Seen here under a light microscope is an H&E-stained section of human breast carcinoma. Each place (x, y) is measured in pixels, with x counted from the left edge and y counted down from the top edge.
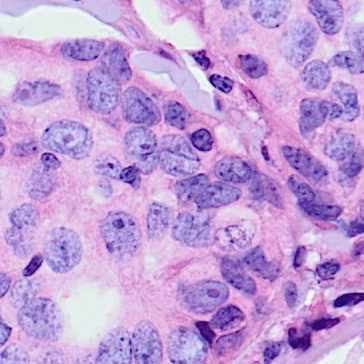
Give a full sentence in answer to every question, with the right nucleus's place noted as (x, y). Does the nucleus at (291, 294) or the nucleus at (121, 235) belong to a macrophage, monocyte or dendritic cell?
The nucleus that belongs to a macrophage, monocyte or dendritic cell is located at (291, 294).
